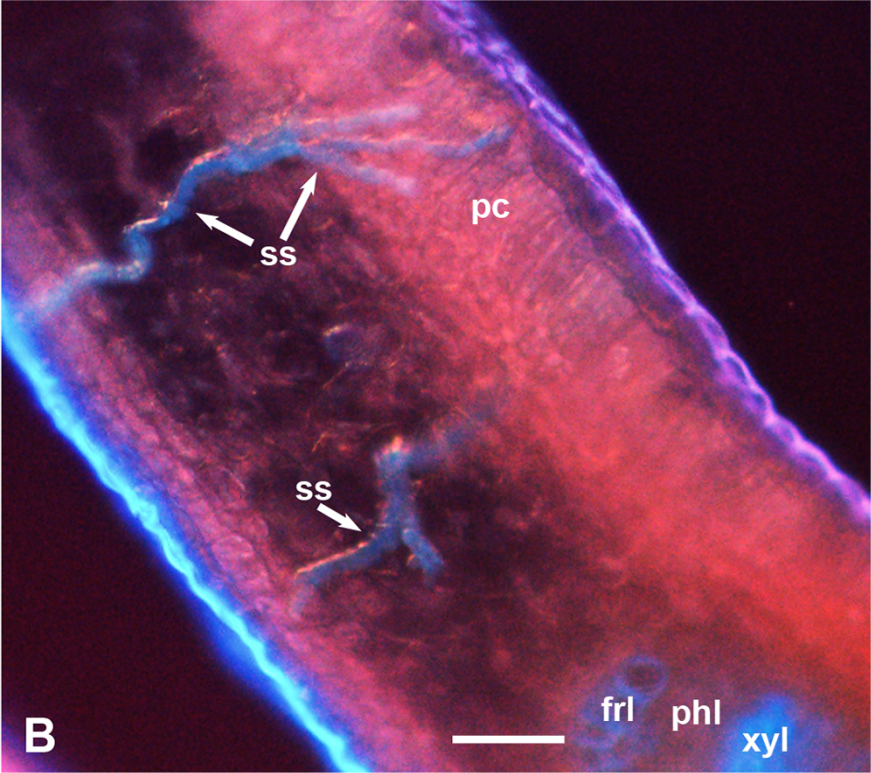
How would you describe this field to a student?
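This cross section of a leaf blade shows columnar palisade parenchyma fluorescing pink-red beneath the violet upper epidermis at the right. The lower surface at the left is bright blue. A small vein with blue-fluorescing xylem lies at the lower right.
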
